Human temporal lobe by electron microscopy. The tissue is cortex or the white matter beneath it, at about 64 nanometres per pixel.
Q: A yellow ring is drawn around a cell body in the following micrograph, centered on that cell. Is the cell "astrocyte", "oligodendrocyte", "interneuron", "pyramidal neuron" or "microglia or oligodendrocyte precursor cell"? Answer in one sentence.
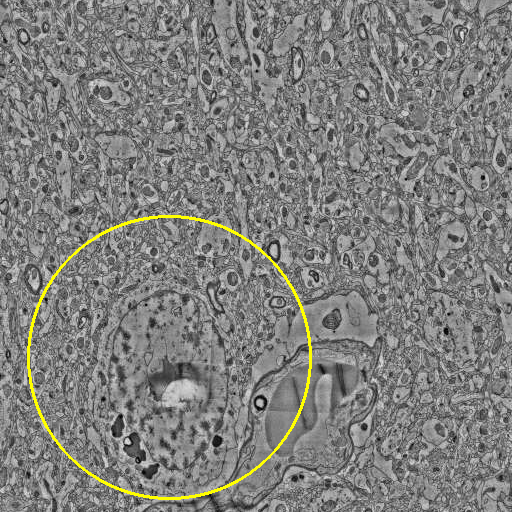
The cell in the center of the ring is an interneuron.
